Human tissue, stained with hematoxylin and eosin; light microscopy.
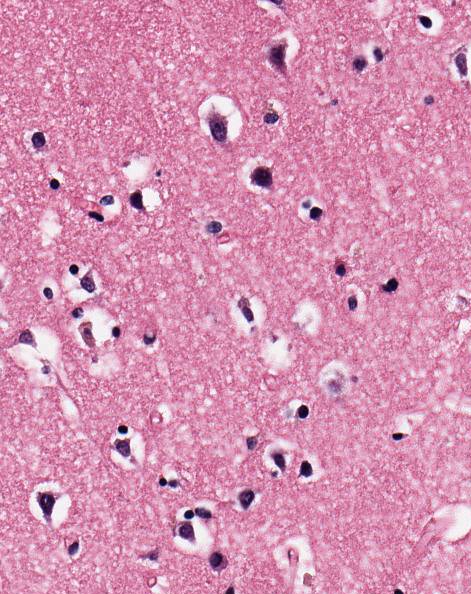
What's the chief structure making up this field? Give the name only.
cerebral cortex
